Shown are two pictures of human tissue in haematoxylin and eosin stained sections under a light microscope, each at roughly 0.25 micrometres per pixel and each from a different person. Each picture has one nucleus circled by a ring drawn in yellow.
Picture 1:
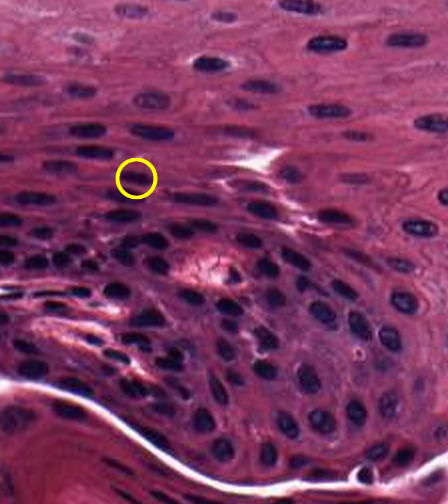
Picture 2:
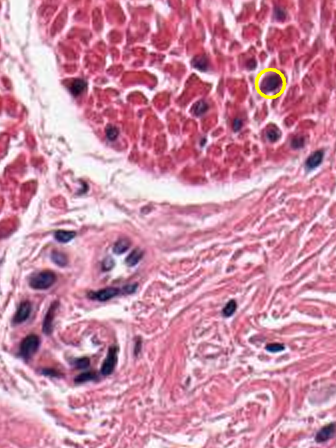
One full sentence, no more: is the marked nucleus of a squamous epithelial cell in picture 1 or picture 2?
A marked nucleus of a squamous epithelial cell is present in picture 1 but absent from the other picture.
